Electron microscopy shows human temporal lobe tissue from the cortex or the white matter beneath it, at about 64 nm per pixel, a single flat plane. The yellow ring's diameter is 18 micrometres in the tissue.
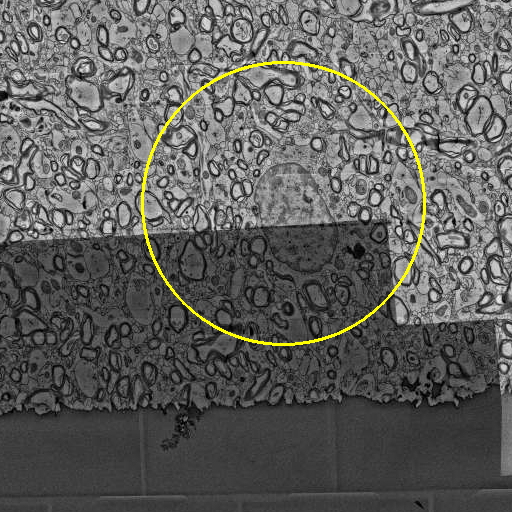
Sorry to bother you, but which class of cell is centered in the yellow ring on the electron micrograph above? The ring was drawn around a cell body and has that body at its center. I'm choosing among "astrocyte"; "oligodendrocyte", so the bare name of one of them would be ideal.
oligodendrocyte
